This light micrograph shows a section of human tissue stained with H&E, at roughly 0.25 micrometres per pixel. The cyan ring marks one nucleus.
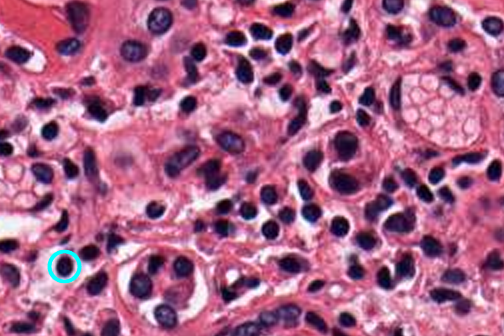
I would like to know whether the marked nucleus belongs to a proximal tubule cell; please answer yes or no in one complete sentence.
No, it is not a proximal tubule cell that owns the marked nucleus but a supporting cell.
